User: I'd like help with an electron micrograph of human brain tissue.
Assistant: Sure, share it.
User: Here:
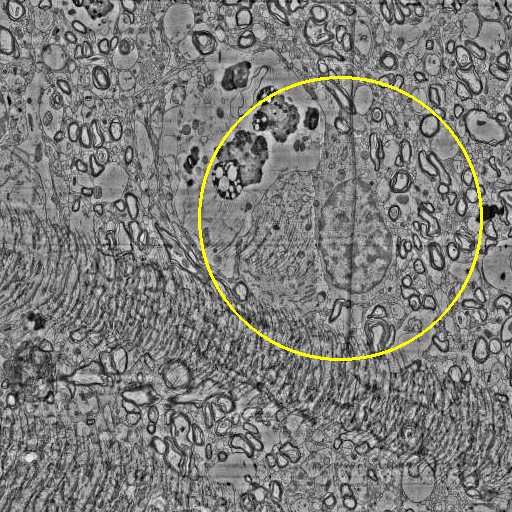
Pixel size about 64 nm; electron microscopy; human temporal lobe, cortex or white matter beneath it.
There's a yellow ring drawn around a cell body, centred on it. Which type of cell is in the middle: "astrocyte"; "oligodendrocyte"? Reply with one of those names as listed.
oligodendrocyte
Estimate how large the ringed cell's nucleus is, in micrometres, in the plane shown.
The ringed cell's nucleus is roughly 7 by 5 micrometres and clearly longer than it is wide in this plane.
